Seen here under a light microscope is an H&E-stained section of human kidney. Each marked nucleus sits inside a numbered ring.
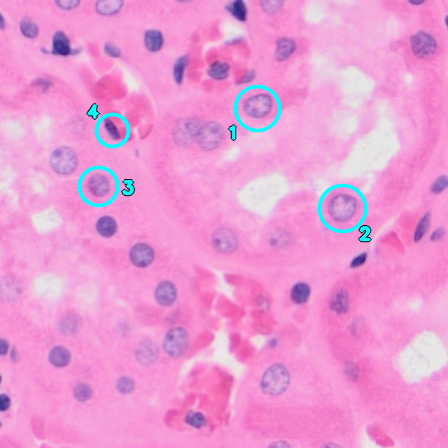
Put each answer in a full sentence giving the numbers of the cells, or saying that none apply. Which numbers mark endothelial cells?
The numbered cells include exactly one that is an endothelial cell, which is cell 4.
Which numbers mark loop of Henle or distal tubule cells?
The numbered cells are, without exception, not loop of Henle or distal tubule cells.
